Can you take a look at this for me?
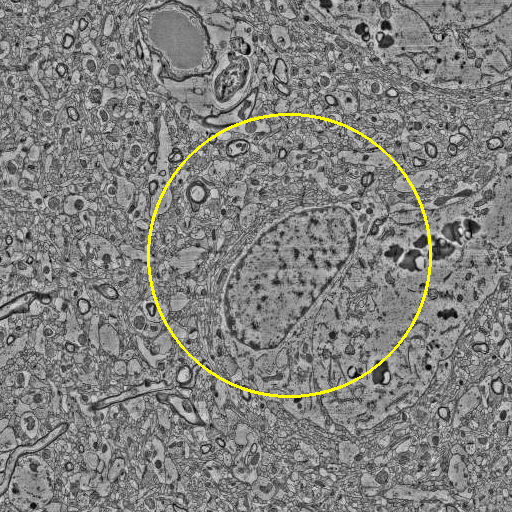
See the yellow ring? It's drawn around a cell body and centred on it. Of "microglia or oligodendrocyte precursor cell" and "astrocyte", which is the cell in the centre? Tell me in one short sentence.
The one in the centre is a microglial cell or oligodendrocyte precursor cell.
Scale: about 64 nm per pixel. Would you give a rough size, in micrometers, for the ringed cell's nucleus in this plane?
In this plane the nucleus is about 11 micrometres by 6.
